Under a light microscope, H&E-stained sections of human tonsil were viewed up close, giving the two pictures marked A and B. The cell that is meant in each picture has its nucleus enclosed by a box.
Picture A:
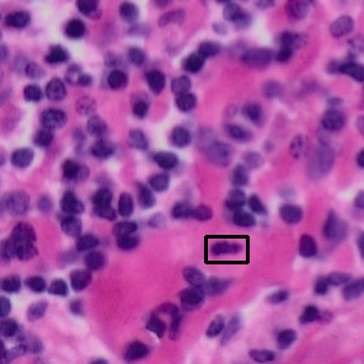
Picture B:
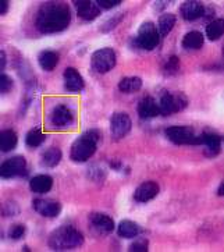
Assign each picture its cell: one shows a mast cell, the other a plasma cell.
A: mast cell
B: plasma cell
